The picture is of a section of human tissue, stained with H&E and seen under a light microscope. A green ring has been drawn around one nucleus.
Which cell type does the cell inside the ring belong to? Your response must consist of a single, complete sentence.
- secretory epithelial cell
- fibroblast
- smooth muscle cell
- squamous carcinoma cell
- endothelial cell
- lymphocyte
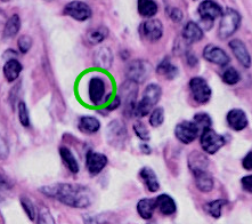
In this section, the cell inside the ring is a lymphocyte.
